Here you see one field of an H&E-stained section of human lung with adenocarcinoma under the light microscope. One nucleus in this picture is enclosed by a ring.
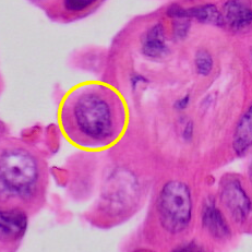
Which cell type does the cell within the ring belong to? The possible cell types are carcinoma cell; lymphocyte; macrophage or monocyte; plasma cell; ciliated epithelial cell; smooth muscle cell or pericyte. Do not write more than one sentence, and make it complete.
In this field of tissue, the cell within the ring is a carcinoma cell.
